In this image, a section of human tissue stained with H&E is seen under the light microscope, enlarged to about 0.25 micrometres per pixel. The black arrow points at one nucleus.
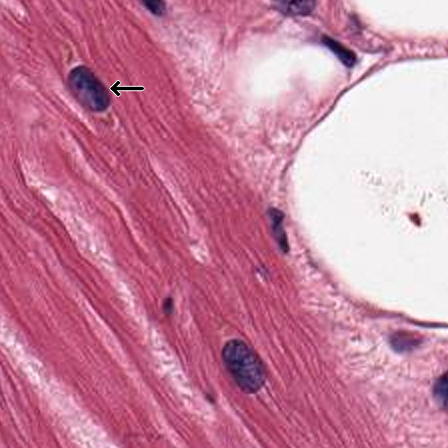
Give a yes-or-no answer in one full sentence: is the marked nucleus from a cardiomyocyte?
Yes, to a cardiomyocyte belongs the marked nucleus.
